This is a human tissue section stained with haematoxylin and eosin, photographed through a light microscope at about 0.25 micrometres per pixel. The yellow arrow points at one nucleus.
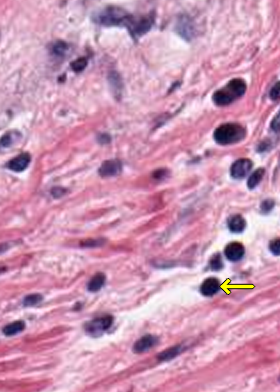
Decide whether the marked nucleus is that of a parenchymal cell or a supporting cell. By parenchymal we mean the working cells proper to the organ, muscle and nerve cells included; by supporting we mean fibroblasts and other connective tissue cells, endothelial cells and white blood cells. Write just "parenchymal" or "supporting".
supporting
